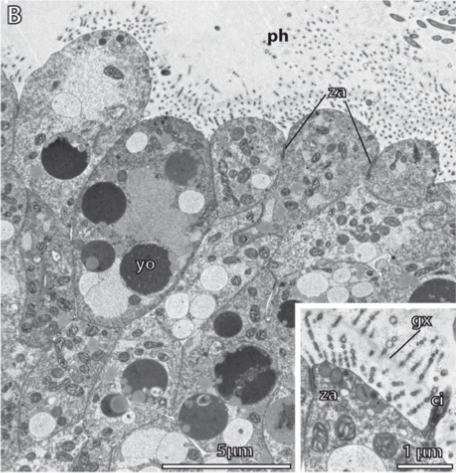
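These are the cells lining the pharynx, facing the pale pharyngeal lumen at the top. Each cell has a domed apex crowded with slender microvilli, and neighbouring cells are joined near their apices by small dense junctions. The cytoplasm is packed with large dark yolk droplets, some irregular, alongside many pale round vesicles and mitochondria. In the inset, a fuzzy coat covers the microvilli, and a cilium emerges from the cell surface.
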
